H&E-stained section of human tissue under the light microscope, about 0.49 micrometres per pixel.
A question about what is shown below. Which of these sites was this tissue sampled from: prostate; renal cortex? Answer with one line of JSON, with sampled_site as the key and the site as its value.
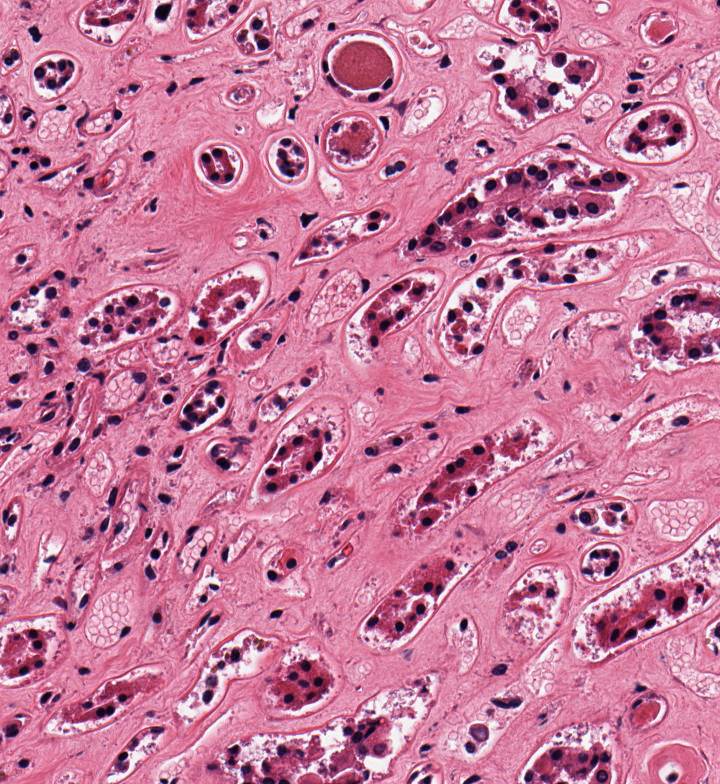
{"sampled_site": "renal cortex"}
